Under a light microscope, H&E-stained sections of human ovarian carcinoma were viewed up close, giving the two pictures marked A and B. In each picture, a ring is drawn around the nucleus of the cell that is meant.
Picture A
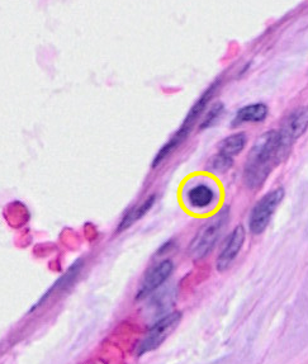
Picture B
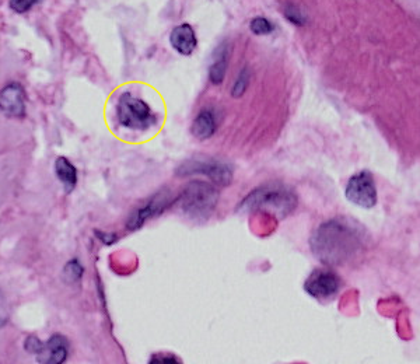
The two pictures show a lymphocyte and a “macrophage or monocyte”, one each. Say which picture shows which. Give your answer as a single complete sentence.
Picture A shows a lymphocyte and picture B shows a “macrophage or monocyte”.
